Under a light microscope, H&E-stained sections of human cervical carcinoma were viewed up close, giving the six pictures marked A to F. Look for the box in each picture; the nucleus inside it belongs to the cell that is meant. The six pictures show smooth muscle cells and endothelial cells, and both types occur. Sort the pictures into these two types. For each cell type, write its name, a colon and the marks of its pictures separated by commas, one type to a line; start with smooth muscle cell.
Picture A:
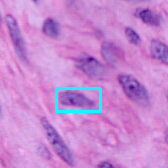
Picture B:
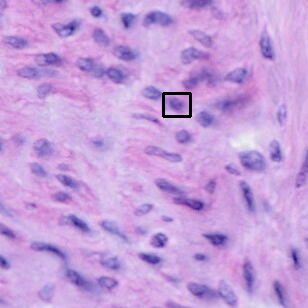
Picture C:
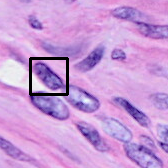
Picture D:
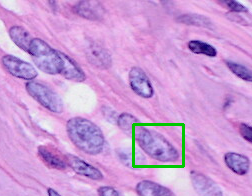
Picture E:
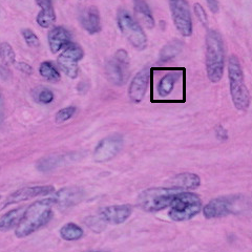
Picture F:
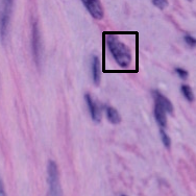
smooth muscle cell: A, B, E
endothelial cell: C, D, F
